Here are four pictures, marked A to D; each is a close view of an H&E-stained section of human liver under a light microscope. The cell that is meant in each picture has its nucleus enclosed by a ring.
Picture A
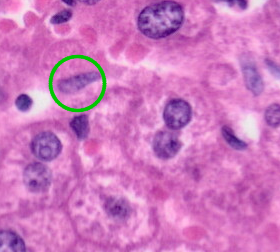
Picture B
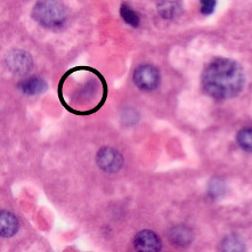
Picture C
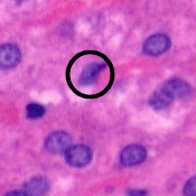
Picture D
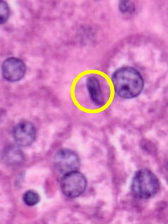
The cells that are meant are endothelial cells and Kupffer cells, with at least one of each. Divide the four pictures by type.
A: Kupffer cell
B: Kupffer cell
C: endothelial cell
D: endothelial cell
